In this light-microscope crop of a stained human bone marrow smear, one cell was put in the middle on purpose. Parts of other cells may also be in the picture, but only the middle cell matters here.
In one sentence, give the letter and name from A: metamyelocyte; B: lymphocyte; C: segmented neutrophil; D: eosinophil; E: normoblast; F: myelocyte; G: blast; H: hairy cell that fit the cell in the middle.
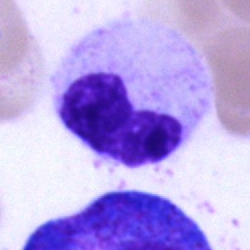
With the cell in the middle being a metamyelocyte, option A is the correct choice.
